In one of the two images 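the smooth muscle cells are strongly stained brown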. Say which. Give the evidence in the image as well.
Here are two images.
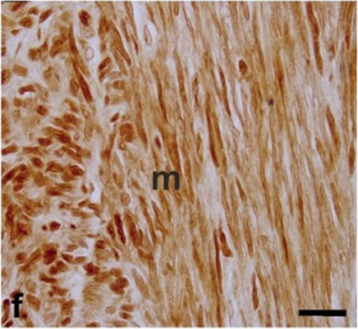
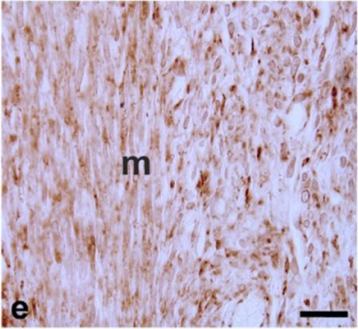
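Second image: the muscle layer is mostly pale with only patchy light brown staining.
The first image.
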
